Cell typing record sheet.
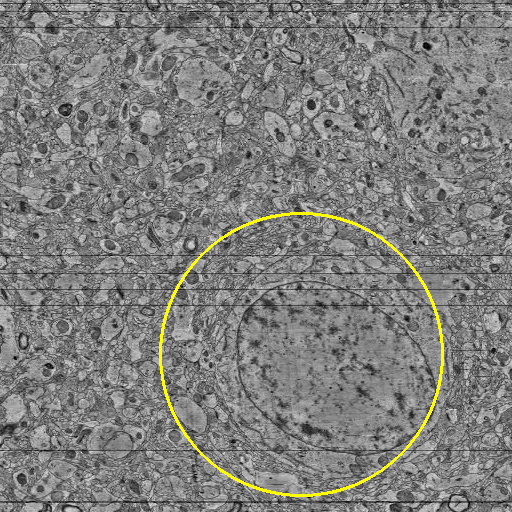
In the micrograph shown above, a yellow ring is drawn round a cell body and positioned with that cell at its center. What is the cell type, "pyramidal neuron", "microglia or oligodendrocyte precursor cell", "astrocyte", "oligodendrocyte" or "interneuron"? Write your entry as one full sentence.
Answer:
The cell body at the center of the ring belongs to a pyramidal neuron.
